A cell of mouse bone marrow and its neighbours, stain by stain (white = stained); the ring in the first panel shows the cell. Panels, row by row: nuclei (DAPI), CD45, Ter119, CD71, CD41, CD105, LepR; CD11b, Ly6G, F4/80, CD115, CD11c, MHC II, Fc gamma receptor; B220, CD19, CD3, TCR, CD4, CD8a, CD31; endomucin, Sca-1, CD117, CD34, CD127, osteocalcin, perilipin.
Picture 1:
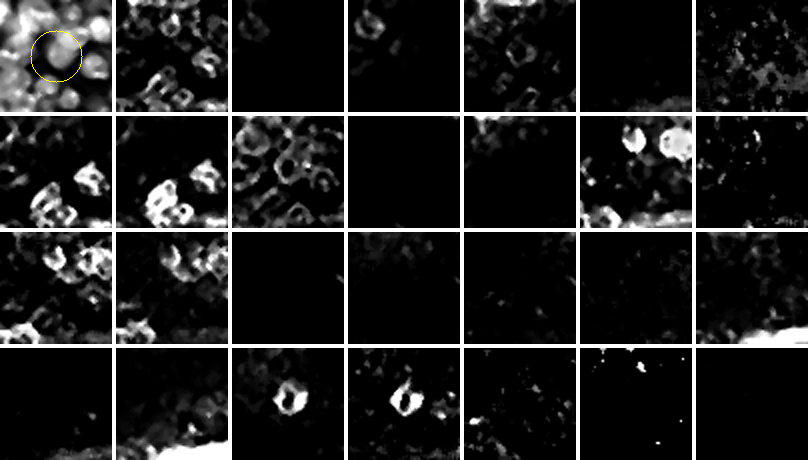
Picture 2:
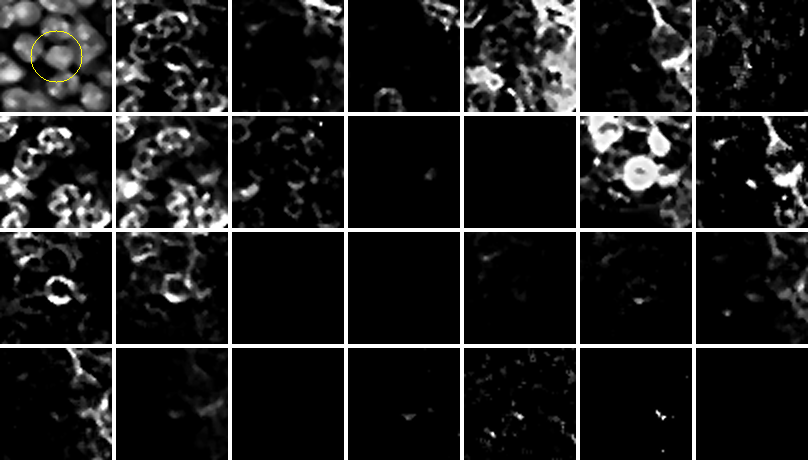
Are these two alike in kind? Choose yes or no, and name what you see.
No. First a common myeloid progenitor, second a B cell.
